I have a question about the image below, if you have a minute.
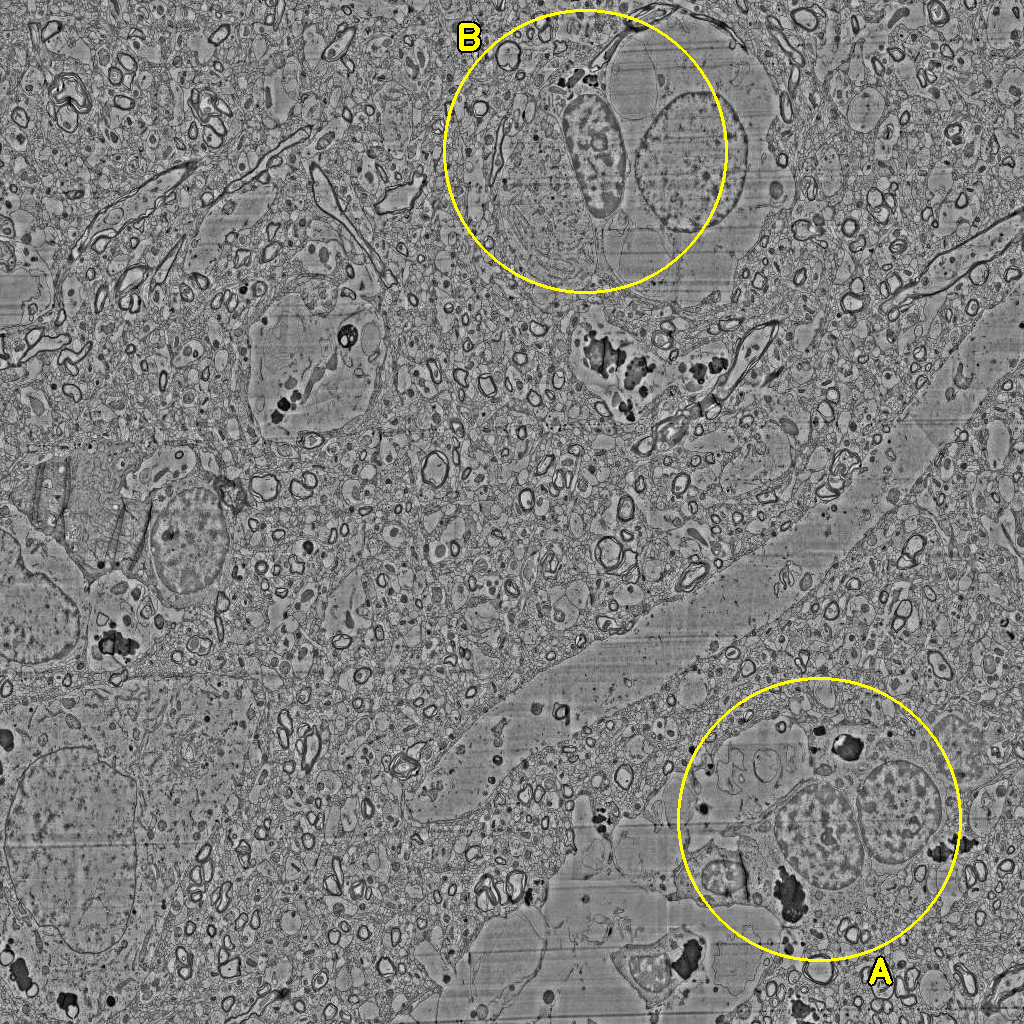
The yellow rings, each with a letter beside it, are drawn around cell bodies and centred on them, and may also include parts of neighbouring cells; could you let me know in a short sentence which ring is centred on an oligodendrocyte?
Ring A is centred on it.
